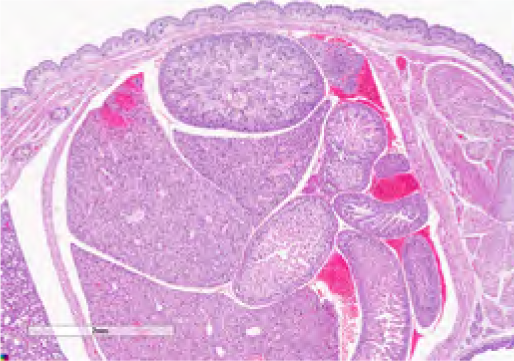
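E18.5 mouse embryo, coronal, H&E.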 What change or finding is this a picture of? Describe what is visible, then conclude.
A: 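Bright red pools of blood lie between abdominal organs. Red blood collects at the edge of the large liver.
Hence: liver/abdominal hemorrhage.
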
